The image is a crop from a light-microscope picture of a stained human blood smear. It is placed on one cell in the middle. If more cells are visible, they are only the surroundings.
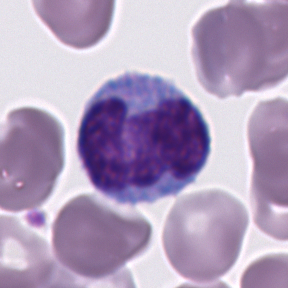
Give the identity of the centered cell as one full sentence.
Here the cell in the middle is a monocyte.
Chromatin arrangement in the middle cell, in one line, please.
Thanks for asking; the chromatin is coarsely clumped.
